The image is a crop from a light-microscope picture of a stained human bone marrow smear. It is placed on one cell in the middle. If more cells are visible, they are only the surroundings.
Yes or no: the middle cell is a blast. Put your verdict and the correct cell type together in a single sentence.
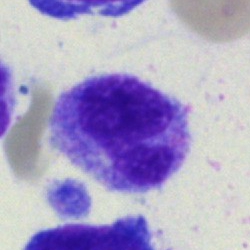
No, instead of a blast, the middle cell is a monocyte.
